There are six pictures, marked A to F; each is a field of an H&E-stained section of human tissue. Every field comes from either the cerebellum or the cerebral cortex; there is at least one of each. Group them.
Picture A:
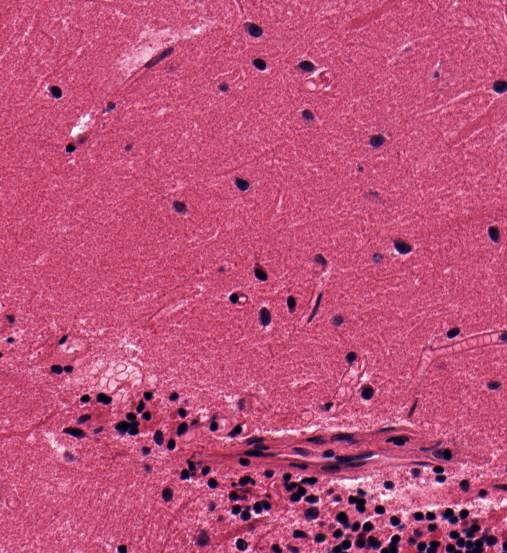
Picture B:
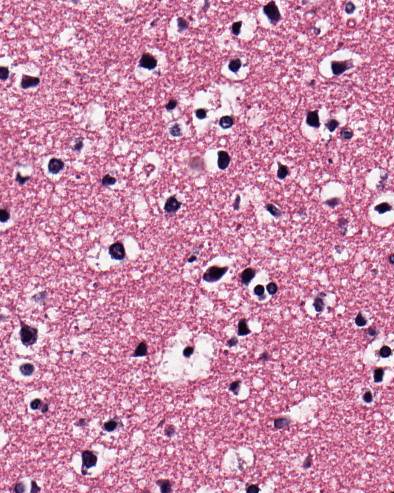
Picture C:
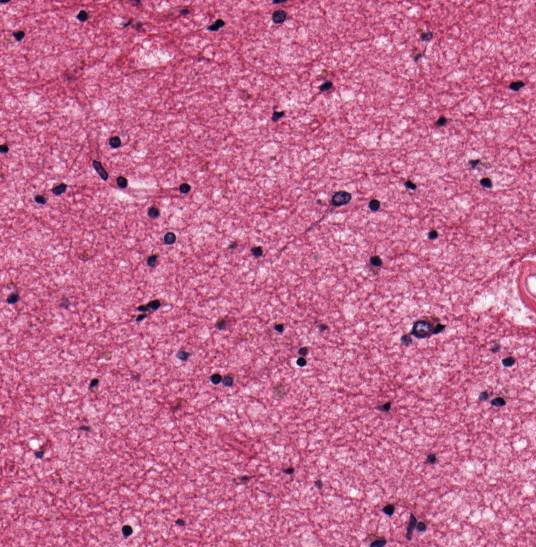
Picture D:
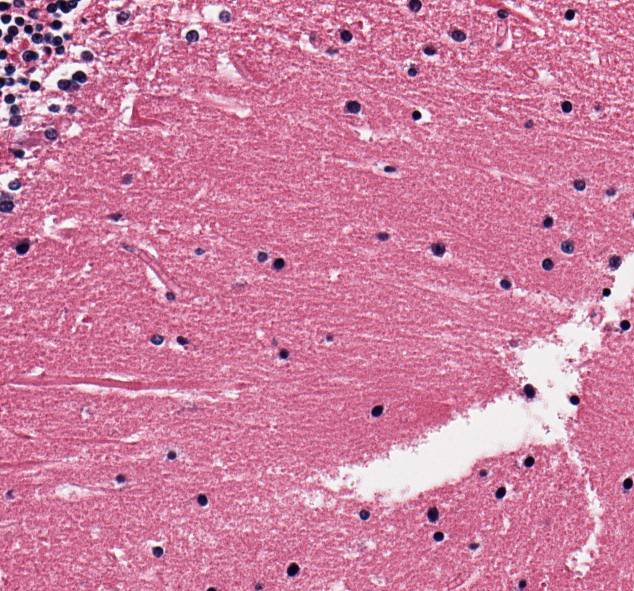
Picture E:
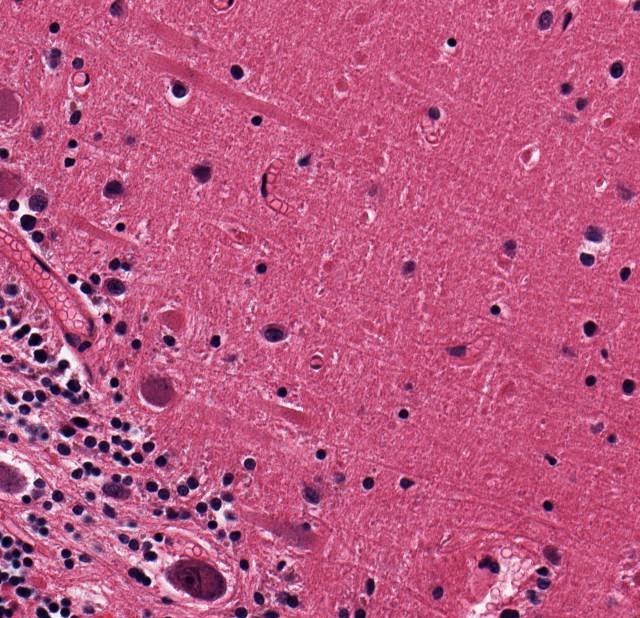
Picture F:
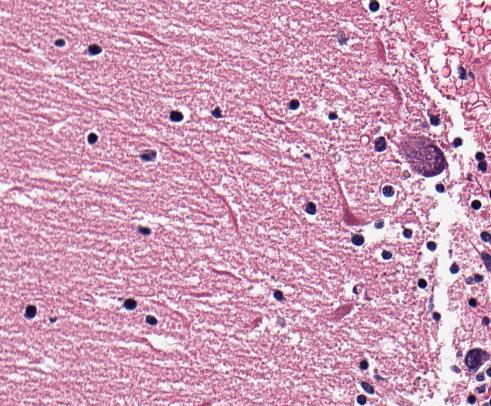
A: cerebellum
B: cerebral cortex
C: cerebral cortex
D: cerebellum
E: cerebellum
F: cerebellum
